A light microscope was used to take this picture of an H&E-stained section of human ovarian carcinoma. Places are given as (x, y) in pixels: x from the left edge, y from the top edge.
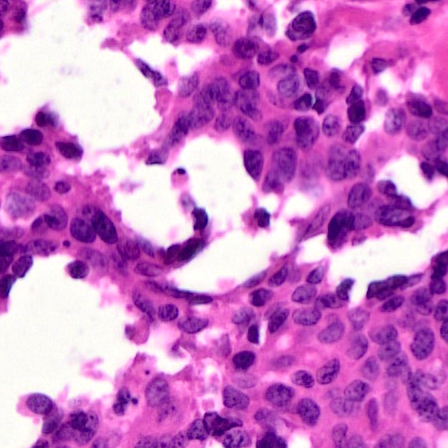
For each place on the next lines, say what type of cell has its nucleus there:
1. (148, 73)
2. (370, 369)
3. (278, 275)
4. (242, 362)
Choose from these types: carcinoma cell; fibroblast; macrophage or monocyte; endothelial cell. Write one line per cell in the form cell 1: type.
cell 1: macrophage or monocyte
cell 2: carcinoma cell
cell 3: carcinoma cell
cell 4: carcinoma cell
